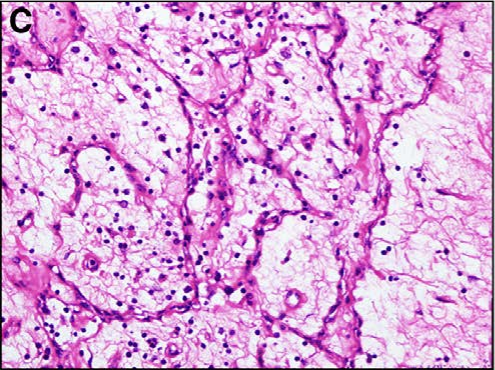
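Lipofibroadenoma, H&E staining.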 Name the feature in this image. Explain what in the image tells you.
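Thin, branching, interconnected cords of elongated cells with oval nuclei. The cords run through a pale, loose, lightly pink stroma. That points to this answer: strands of thymic epithelial cells.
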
